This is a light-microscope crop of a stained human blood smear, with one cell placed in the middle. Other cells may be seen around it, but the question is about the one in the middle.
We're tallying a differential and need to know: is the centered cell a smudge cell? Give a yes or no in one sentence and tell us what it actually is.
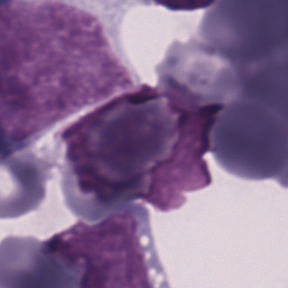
No, it is a myeloblast, not a smudge cell, that lies at the centre of the crop.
